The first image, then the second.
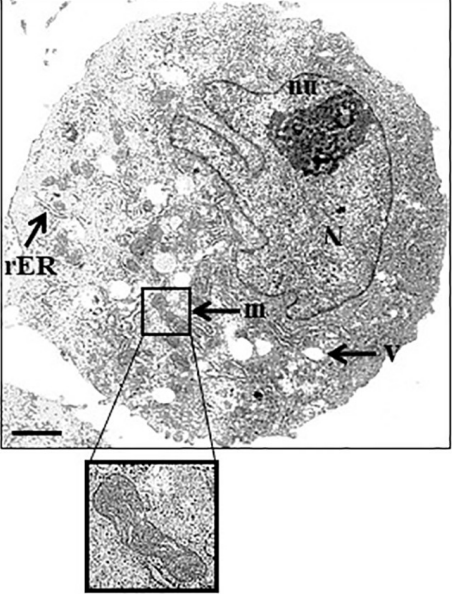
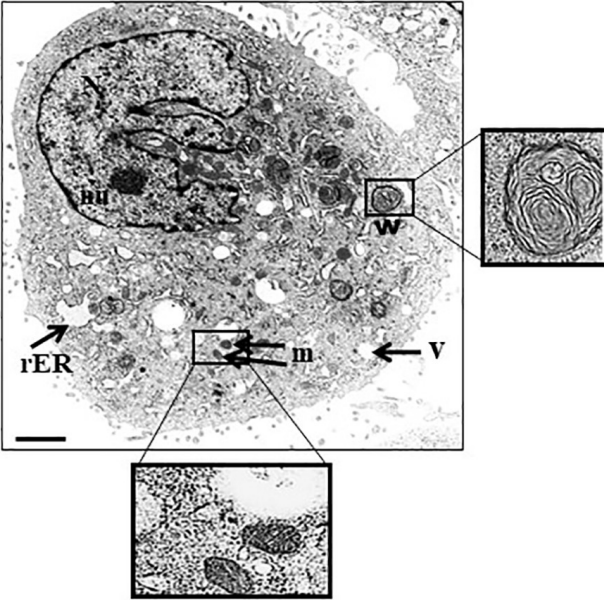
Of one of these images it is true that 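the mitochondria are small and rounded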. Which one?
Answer: The second image.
